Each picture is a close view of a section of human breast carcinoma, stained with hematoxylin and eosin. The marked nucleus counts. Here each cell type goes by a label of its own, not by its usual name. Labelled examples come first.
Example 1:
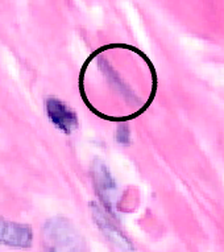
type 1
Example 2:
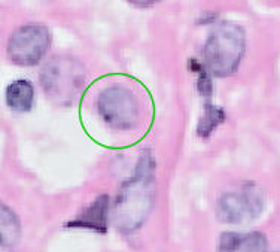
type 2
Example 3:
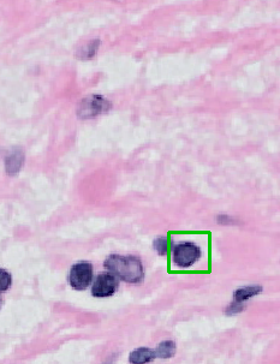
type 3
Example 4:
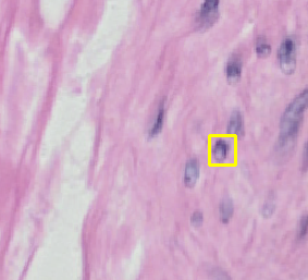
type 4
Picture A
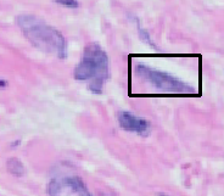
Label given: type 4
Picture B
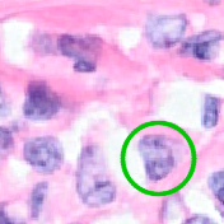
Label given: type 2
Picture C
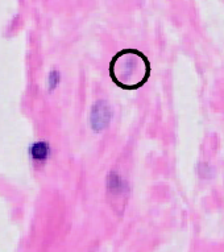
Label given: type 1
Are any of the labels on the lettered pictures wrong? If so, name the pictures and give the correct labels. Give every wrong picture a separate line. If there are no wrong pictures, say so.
A is labelled type 4; correct label: type 1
